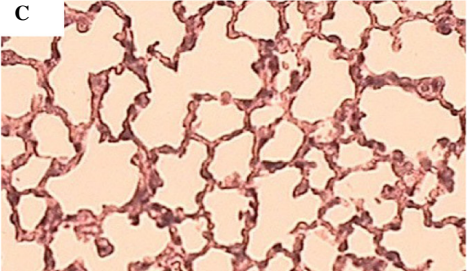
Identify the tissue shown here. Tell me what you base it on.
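Pulmonary parenchyma. A lace-like network of thin septa encloses empty air spaces. No bronchi or large vessels dominate the field; it is mostly alveolar tissue.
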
